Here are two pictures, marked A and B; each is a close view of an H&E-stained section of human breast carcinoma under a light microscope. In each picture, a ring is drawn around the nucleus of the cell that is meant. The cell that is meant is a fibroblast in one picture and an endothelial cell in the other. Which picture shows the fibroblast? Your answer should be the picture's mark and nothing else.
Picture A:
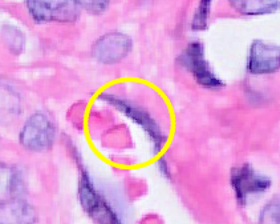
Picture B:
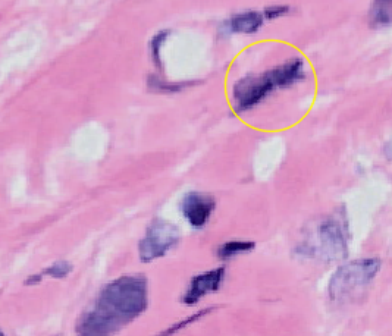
B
